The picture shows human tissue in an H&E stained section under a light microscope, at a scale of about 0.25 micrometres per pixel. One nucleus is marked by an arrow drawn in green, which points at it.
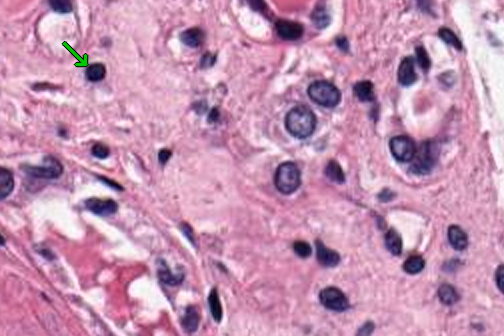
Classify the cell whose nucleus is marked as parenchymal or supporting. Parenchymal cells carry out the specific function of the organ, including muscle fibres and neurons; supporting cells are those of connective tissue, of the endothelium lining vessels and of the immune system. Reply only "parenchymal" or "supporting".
supporting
